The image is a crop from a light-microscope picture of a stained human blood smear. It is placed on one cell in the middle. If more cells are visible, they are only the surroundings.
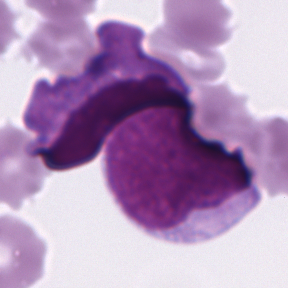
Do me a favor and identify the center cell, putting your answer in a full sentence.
The middle cell in this particular crop is a myeloblast.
